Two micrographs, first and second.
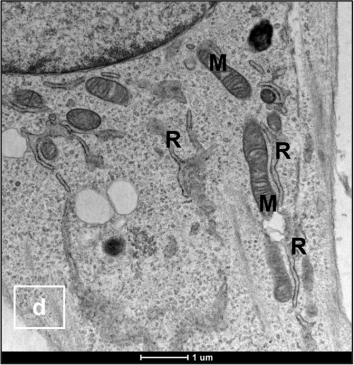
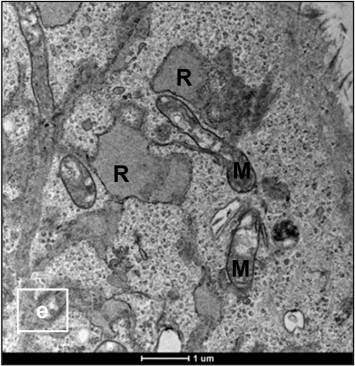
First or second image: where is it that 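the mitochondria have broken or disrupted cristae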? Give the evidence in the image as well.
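Second image: the marked mitochondria have pale matrix and fragmented cristae. First image: the marked mitochondria show regular, continuous cristae.
Conclusion: the second image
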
